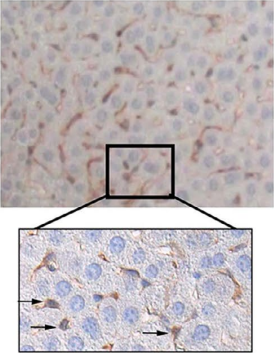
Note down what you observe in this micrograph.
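This liver section shows hepatocytes with round, pale blue nuclei arranged fairly evenly in a light brownish background. Scattered through the tissue are brown-stained profiles, many elongated or branching, that run between the hepatocytes. In the enlarged inset, arrows point to several small brown-stained cells lying among the round-nucleated hepatocytes.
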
